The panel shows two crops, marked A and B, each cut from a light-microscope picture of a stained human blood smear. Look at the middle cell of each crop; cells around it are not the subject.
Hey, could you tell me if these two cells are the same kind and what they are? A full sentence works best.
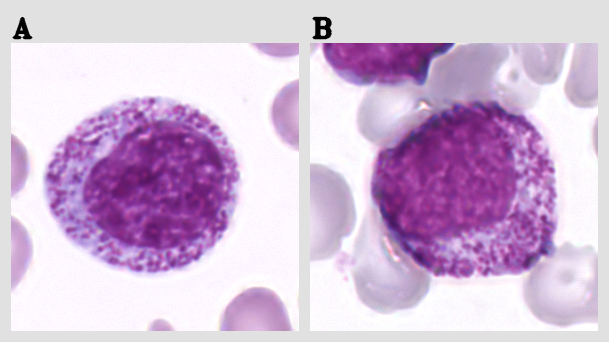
Yes, myelocytes occupy the centre of both crops.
